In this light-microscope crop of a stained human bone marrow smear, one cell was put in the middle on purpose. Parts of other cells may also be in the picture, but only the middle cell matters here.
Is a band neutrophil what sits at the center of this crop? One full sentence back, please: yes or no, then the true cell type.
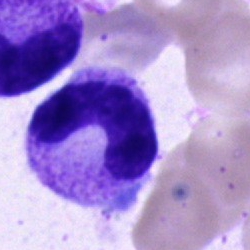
Yes, the middle cell is classified as a band neutrophil.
